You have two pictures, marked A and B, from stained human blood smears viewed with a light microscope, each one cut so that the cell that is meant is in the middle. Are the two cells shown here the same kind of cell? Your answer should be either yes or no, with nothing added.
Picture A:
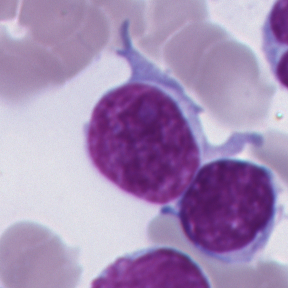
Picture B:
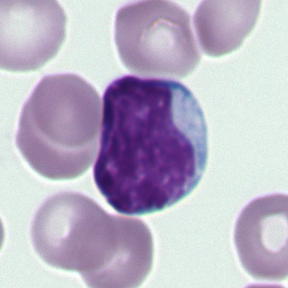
yes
